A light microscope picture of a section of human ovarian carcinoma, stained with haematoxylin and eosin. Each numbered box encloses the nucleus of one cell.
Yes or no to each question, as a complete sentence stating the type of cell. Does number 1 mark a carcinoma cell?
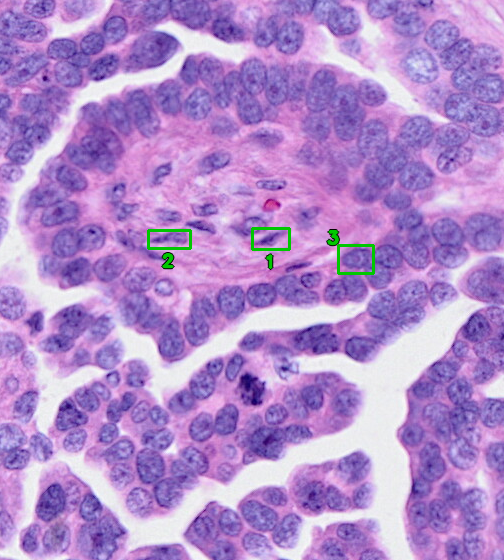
No, cell 1 is a fibroblast; it is not a carcinoma cell.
